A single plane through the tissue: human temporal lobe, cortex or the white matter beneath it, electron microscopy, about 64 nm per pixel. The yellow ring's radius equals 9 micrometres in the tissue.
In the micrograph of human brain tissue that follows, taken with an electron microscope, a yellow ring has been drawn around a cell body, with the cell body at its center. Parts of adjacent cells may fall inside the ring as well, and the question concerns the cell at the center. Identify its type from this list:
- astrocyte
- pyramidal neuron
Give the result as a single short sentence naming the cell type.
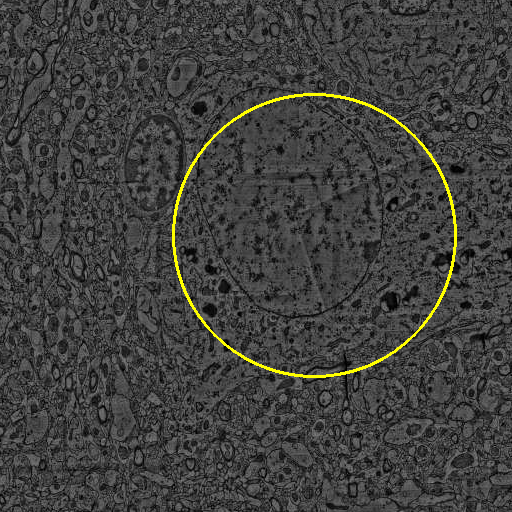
The ring is centered on a pyramidal neuron.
